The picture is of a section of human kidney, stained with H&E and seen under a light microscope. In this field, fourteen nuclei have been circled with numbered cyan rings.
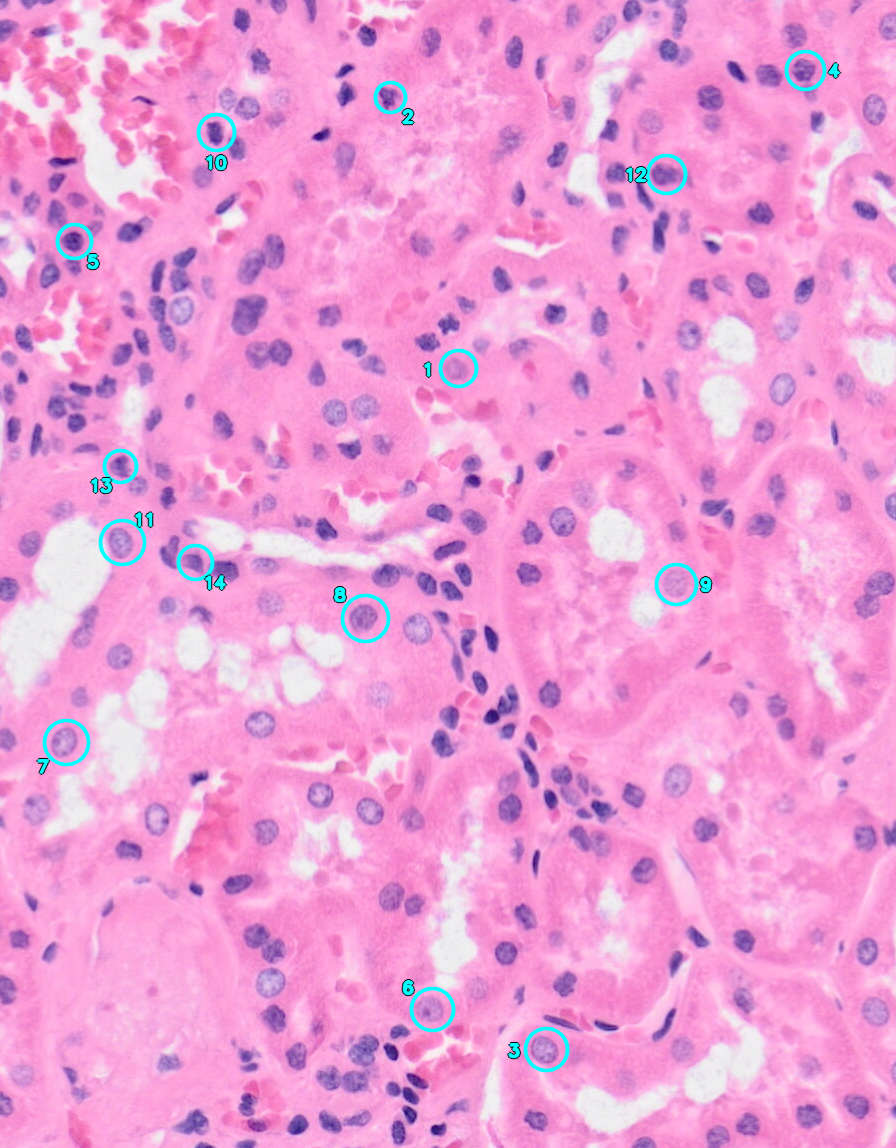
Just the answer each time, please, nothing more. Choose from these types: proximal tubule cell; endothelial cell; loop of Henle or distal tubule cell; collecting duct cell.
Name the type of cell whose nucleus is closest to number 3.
endothelial cell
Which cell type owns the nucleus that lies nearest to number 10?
loop of Henle or distal tubule cell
